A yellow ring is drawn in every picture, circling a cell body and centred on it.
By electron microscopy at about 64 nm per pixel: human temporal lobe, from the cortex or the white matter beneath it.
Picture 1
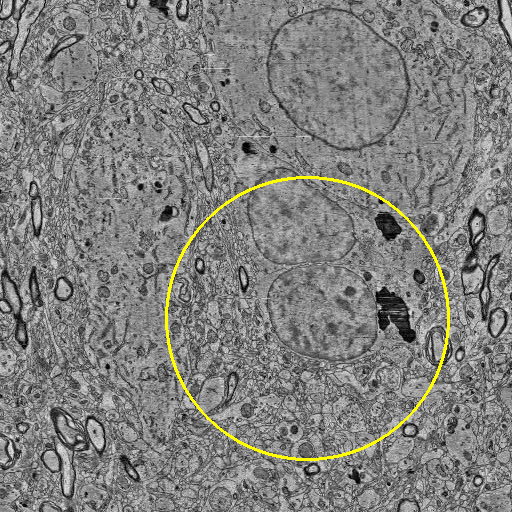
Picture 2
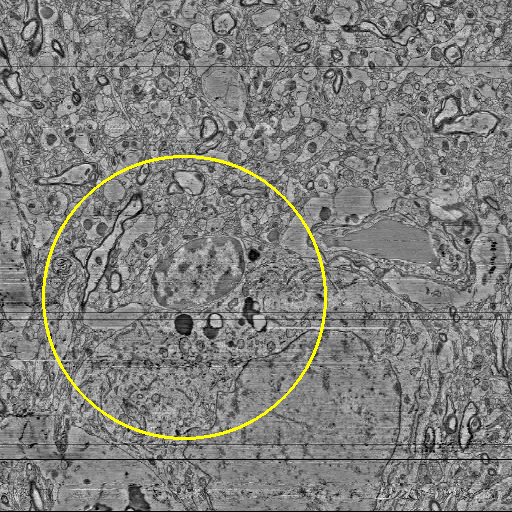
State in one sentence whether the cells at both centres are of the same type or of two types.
The cells at the two ring centres, one per picture, are of two types.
